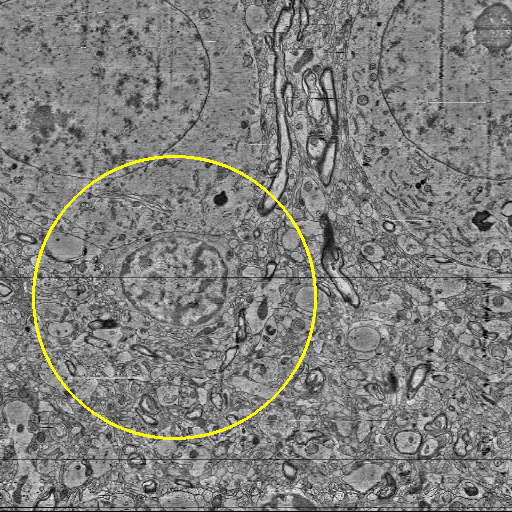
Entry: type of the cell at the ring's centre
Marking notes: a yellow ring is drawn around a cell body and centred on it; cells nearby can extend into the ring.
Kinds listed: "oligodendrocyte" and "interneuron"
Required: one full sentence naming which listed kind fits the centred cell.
My entry names an oligodendrocyte as the cell whose body the yellow ring centres on.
